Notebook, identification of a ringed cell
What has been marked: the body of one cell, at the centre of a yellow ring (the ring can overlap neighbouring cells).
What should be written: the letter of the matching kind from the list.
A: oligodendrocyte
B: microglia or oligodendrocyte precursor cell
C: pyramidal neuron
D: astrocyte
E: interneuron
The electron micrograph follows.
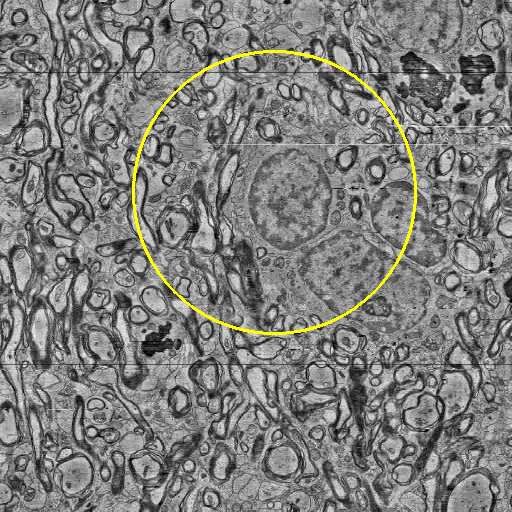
A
